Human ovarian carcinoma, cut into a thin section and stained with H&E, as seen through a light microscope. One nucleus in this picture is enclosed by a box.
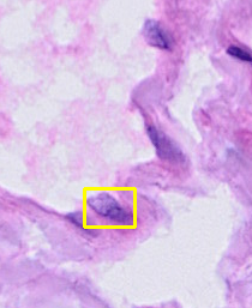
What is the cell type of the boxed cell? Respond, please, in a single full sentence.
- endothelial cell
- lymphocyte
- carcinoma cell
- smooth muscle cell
Labelled by cell type, the boxed cell is an endothelial cell.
